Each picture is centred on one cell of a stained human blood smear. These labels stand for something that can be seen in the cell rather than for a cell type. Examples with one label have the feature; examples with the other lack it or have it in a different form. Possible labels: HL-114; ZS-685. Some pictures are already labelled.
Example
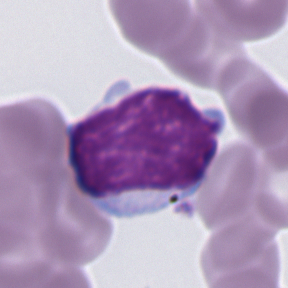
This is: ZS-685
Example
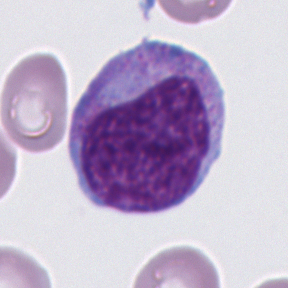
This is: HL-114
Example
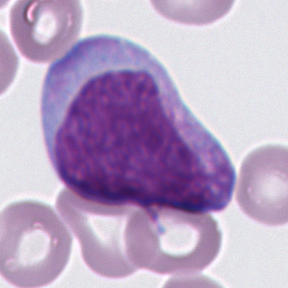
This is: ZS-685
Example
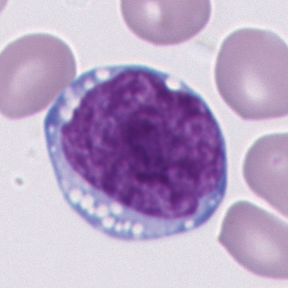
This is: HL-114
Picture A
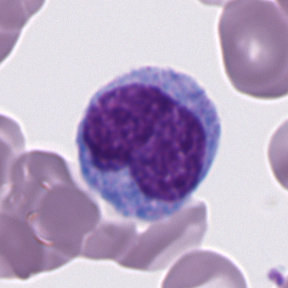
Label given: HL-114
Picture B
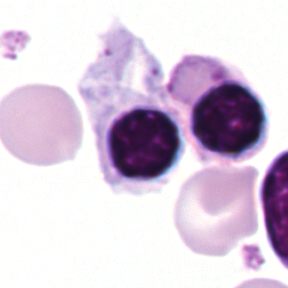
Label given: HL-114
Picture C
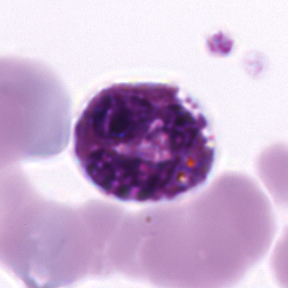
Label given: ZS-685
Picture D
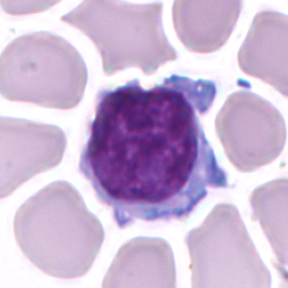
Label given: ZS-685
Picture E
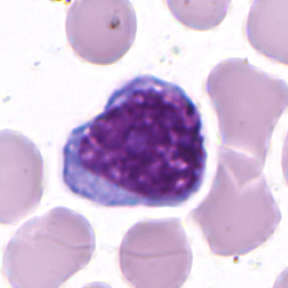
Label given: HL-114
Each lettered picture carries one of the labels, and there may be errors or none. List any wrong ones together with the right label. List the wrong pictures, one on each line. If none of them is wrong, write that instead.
B: not HL-114 but ZS-685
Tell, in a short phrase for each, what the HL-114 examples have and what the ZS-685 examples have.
HL-114: smooth outline; ZS-685: ragged outline or projections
